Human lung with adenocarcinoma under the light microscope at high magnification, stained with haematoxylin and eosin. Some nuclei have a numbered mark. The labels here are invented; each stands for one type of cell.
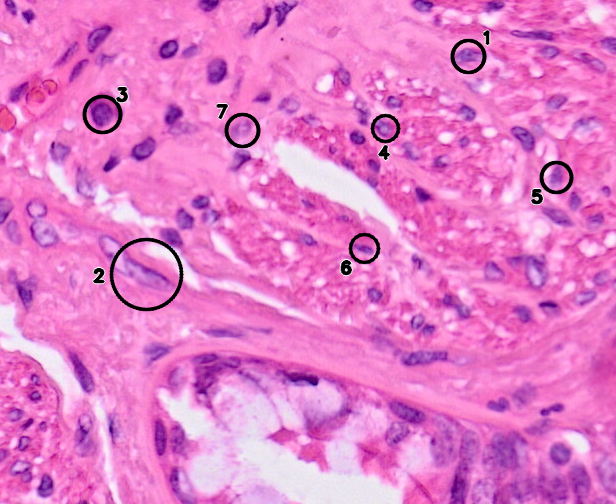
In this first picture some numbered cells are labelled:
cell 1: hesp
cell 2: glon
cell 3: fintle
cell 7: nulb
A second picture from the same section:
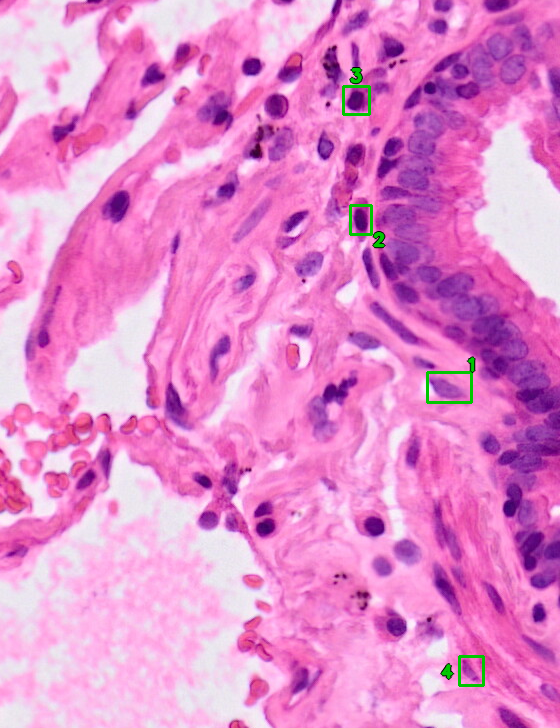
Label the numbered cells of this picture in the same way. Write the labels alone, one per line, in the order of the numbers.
nulb
fintle
fintle
hesp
